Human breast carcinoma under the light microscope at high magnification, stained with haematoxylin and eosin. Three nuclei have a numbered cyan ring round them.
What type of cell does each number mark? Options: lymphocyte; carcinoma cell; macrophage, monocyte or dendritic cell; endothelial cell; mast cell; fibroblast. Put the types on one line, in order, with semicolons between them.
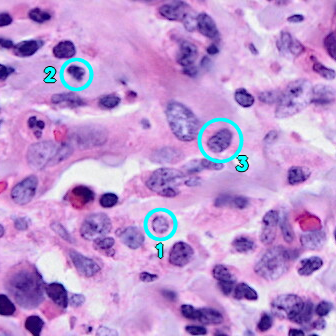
macrophage, monocyte or dendritic cell; lymphocyte; mast cell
